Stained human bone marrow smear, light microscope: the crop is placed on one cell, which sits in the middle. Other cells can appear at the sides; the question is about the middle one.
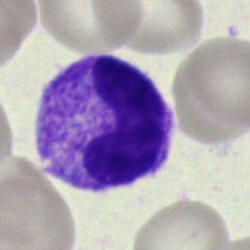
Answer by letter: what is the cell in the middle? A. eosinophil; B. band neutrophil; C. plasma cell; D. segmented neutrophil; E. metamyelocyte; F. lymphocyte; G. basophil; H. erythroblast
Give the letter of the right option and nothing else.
B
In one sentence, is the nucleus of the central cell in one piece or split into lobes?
Just one compact nuclear mass here, round, oval or kidney-shaped.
